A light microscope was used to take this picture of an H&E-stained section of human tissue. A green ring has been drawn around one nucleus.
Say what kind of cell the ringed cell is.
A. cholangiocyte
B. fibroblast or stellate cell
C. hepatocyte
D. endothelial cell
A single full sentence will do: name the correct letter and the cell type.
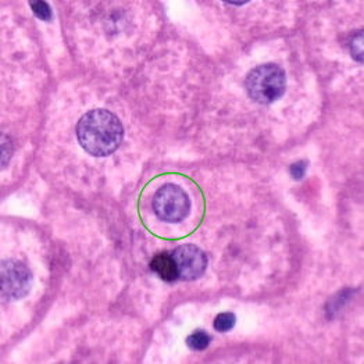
The correct response is option C: the ringed cell is a hepatocyte.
